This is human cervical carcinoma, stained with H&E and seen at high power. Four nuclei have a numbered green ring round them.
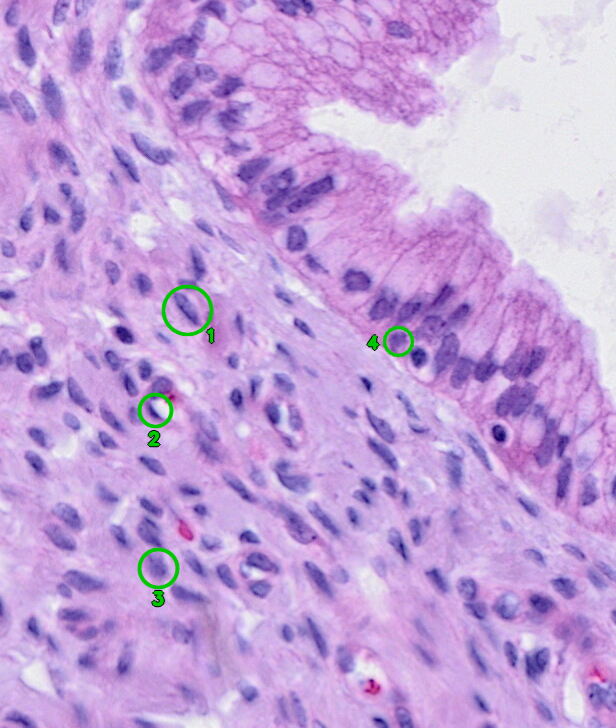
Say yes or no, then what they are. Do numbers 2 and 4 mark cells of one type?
No, cell 2 is identified as an endothelial cell, and cell 4 is identified as a secretory epithelial cell.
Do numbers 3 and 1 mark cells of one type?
Yes, cells 3 and 1 are both to be classed as fibroblasts.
